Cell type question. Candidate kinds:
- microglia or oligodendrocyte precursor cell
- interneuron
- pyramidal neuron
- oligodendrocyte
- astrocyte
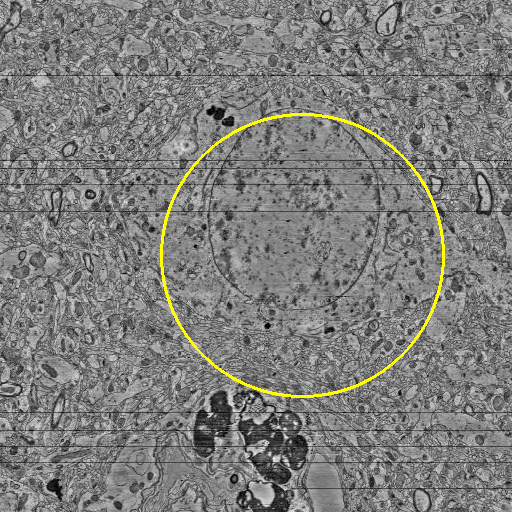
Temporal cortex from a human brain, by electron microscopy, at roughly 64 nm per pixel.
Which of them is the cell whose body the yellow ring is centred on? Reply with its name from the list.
pyramidal neuron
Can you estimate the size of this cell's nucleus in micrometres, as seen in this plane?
In this plane, the nucleus of the cell at the centre of the ring measures about 13 by 11 micrometres.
